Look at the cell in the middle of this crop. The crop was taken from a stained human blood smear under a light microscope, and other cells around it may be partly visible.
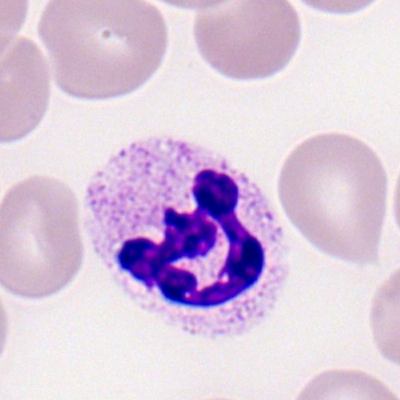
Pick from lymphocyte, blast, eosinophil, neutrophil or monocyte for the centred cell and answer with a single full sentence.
Here the cell in the middle is a neutrophil.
